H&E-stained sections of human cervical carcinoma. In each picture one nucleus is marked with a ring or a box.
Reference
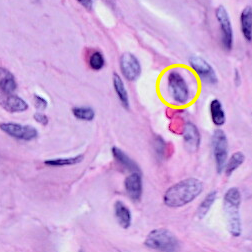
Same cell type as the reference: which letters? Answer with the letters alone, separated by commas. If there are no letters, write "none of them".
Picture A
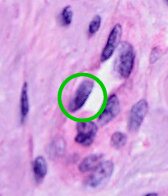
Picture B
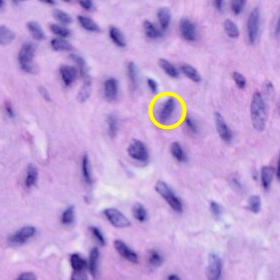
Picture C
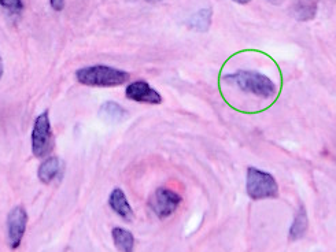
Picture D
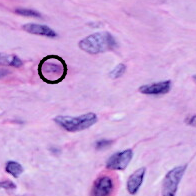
A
